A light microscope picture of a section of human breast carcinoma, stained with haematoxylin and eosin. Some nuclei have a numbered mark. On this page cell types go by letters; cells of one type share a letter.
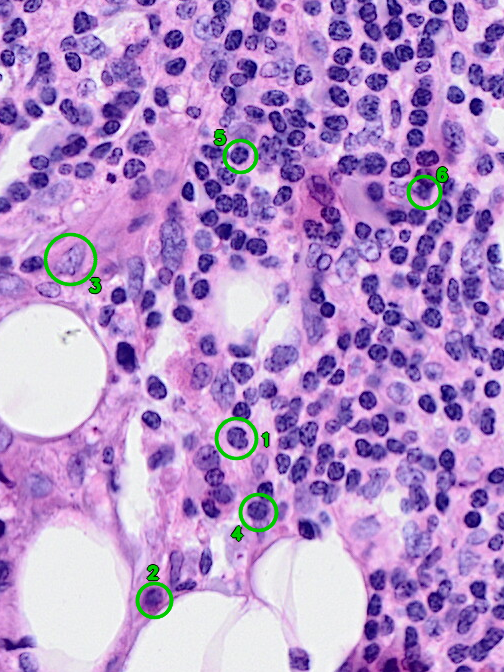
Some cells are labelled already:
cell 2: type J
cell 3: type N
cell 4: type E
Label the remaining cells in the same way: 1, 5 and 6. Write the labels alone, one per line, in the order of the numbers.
type E
type E
type E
